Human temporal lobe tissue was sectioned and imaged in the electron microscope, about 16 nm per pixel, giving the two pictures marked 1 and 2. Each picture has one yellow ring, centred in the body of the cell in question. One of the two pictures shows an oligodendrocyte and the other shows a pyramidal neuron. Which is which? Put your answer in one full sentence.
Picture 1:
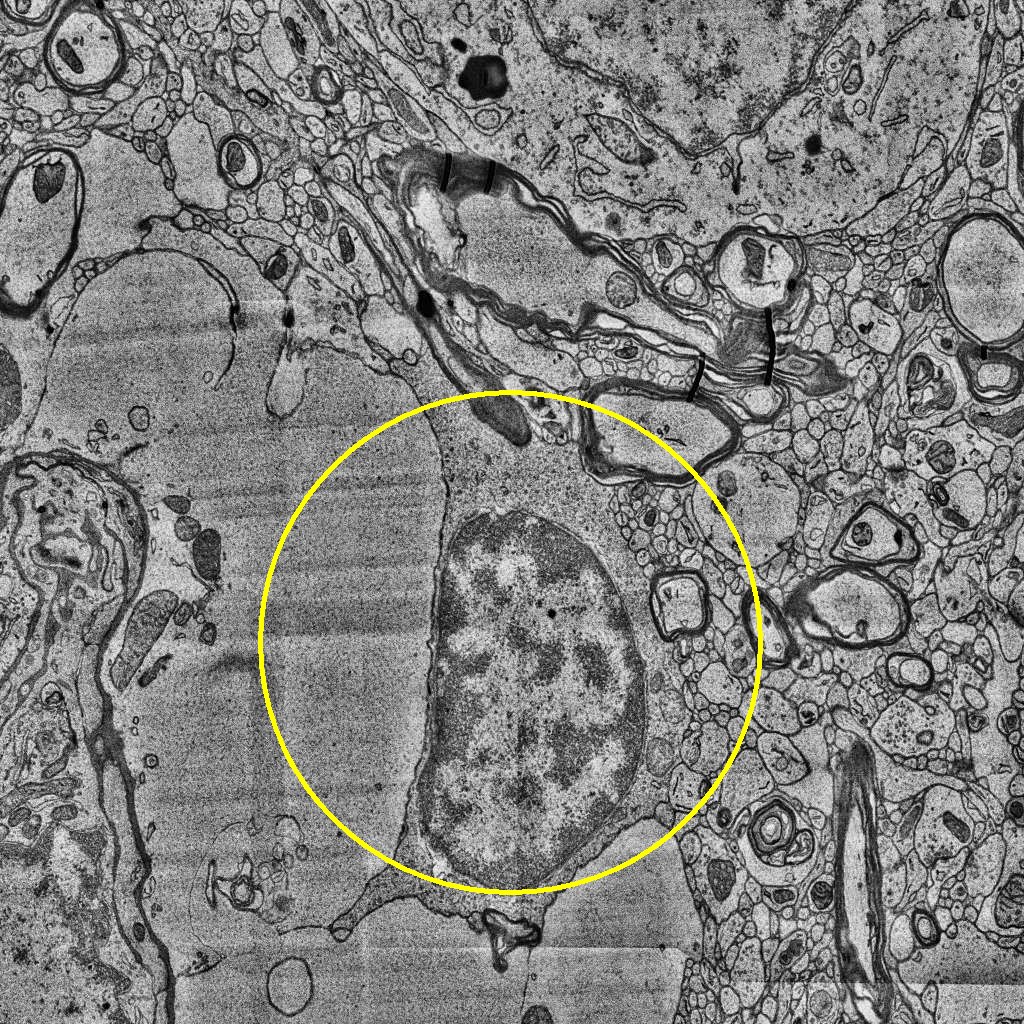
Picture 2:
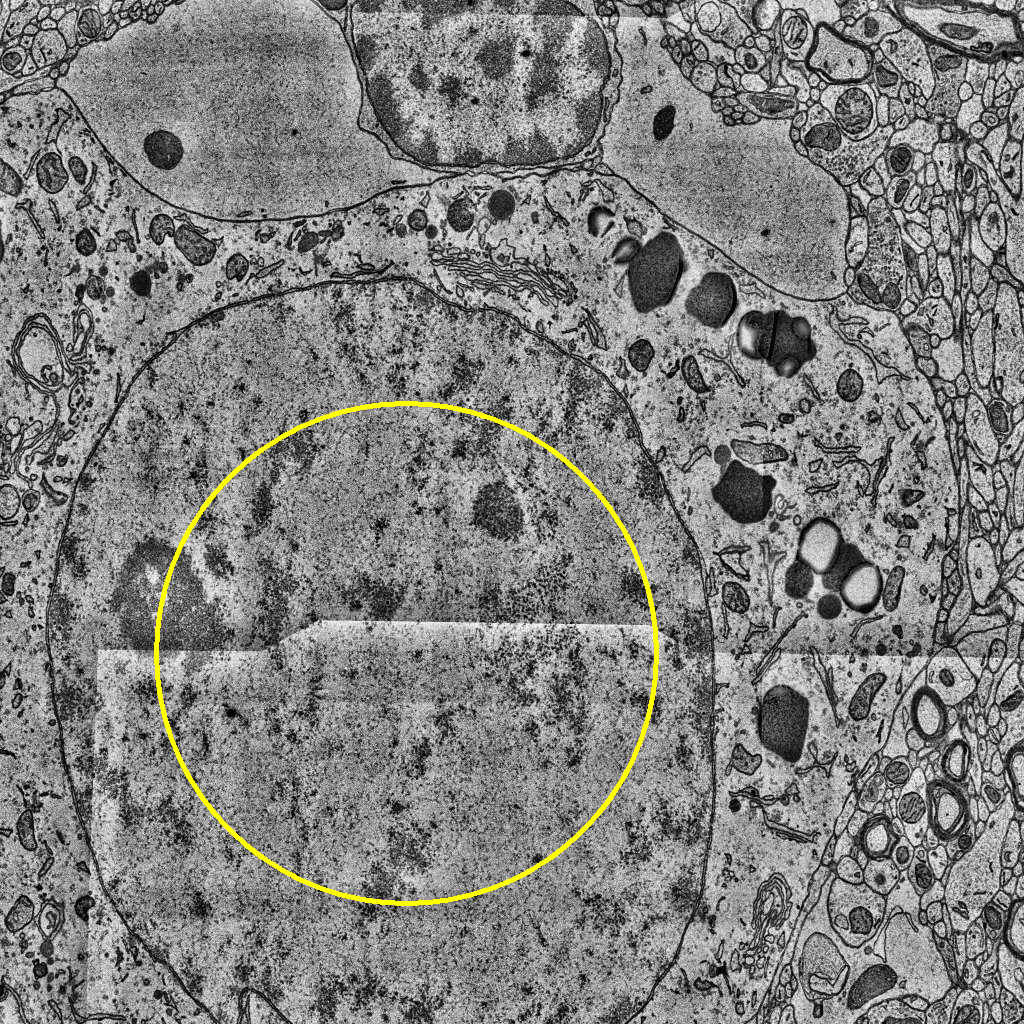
Picture 1 is of an oligodendrocyte, and picture 2 is of a pyramidal neuron.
